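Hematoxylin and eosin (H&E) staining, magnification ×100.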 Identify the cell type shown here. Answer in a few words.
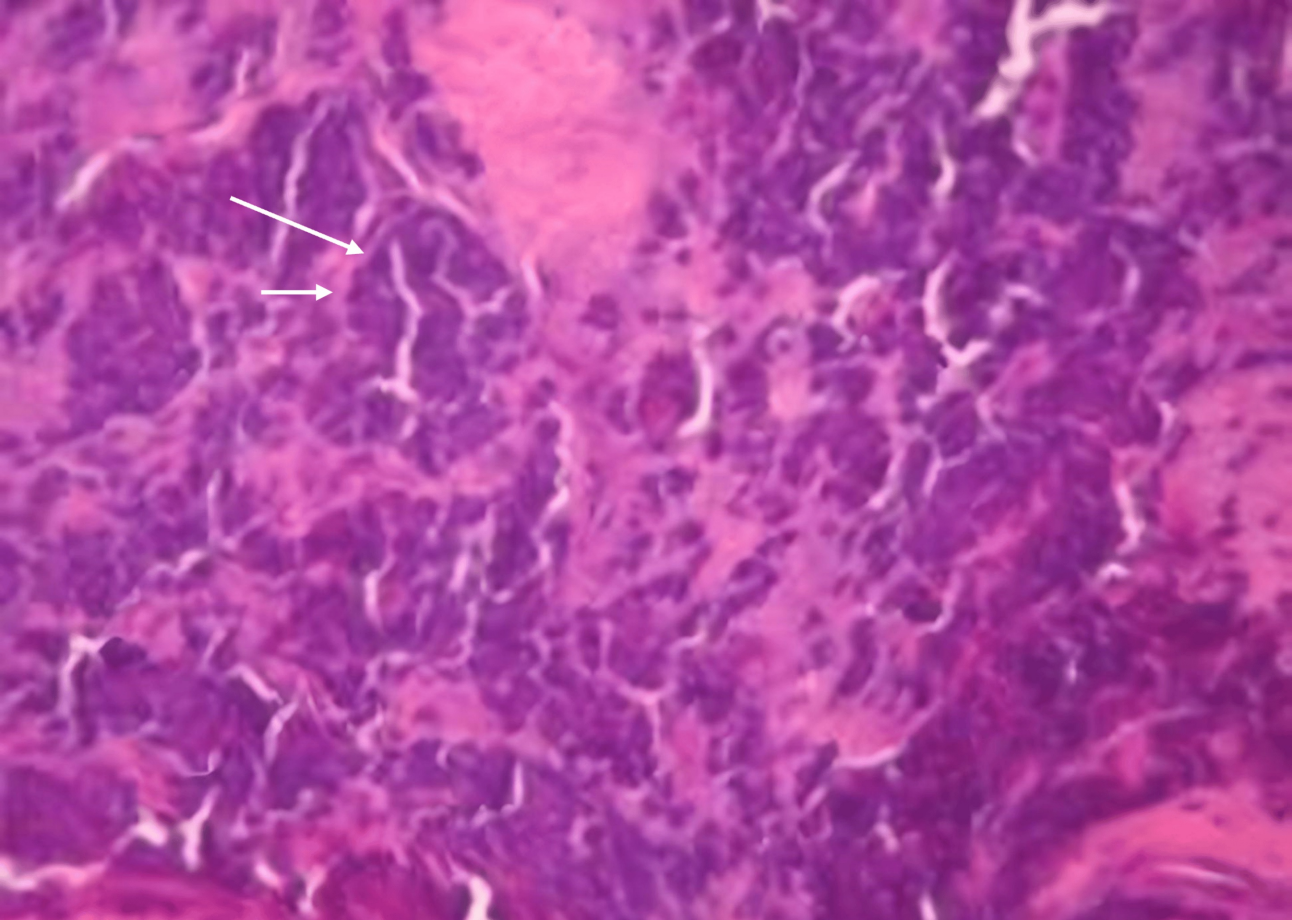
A: Small, round tumor cells.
